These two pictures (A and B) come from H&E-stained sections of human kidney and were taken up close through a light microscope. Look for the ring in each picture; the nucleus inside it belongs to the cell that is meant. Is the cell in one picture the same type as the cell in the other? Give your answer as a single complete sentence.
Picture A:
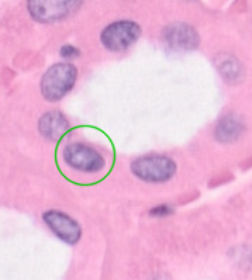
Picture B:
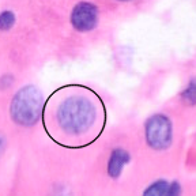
Yes, both are “loop of Henle or distal tubule cells”.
